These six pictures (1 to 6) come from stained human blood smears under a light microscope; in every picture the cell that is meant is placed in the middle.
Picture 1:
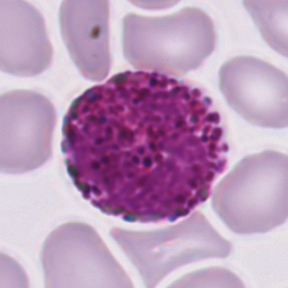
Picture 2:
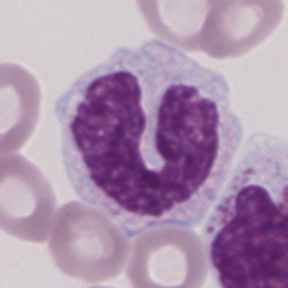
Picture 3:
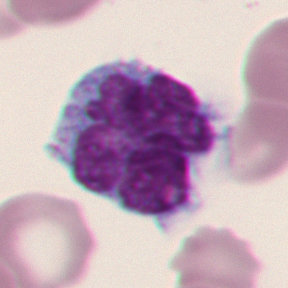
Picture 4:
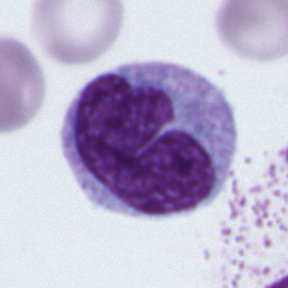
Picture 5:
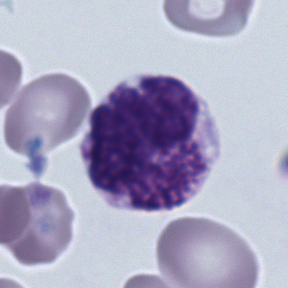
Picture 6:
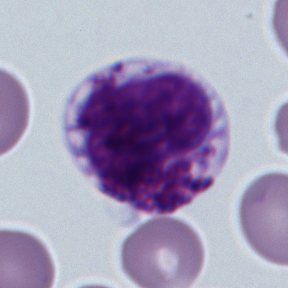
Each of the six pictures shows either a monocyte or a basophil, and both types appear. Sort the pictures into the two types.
1: basophil
2: monocyte
3: monocyte
4: monocyte
5: basophil
6: basophil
